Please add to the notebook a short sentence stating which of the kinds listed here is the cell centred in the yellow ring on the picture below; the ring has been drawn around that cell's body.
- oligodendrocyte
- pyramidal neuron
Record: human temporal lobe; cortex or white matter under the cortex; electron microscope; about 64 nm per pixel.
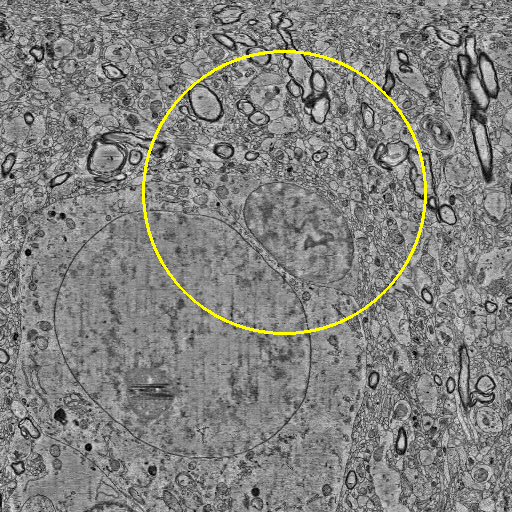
The cell centred in the yellow ring is an oligodendrocyte.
